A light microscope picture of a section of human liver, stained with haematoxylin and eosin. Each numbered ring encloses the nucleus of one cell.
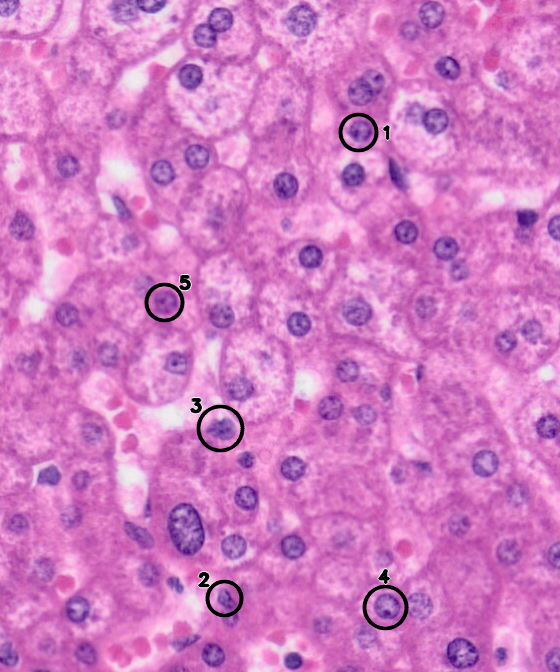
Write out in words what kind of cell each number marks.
Cell 1 is a hepatocyte, cell 2 is a fibroblast or stellate cell, cell 3 is an endothelial cell, cell 4 is a hepatocyte and cell 5 is a hepatocyte.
